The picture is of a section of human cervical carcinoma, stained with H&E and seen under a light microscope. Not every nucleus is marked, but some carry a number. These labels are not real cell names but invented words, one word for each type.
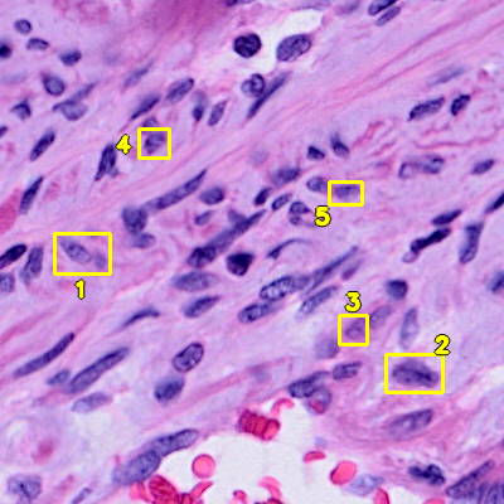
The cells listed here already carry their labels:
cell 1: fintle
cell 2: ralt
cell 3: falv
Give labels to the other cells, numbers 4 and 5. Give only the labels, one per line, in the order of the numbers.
fintle
fintle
